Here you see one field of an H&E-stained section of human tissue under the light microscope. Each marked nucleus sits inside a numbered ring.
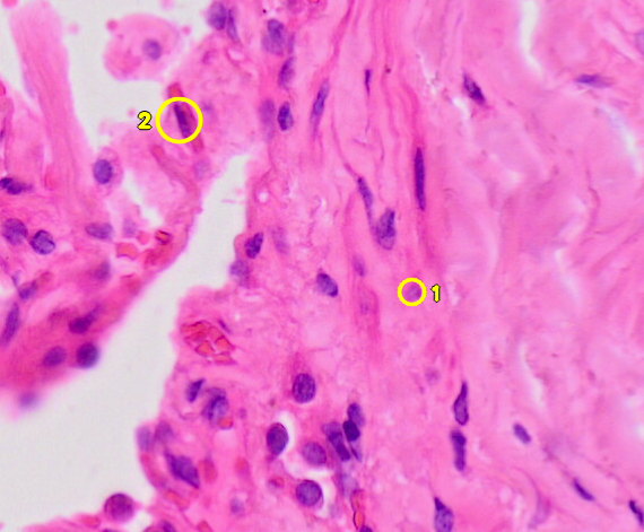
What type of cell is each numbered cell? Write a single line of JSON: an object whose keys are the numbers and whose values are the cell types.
{"1": "smooth muscle cell or pericyte", "2": "endothelial cell"}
